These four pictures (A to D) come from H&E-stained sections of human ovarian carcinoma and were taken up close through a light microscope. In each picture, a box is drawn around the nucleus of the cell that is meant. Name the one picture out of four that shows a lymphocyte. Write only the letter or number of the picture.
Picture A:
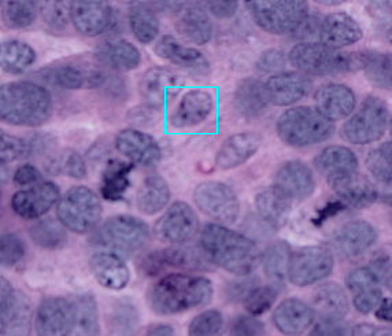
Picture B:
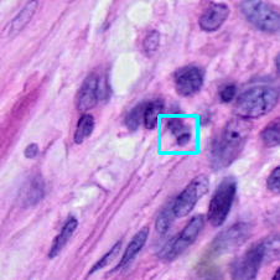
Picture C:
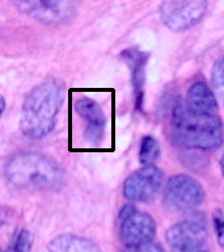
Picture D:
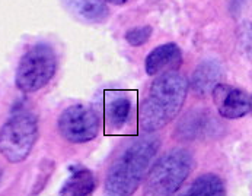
D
